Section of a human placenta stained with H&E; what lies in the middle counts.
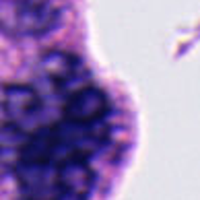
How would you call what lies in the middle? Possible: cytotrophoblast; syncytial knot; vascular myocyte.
I would call it a syncytial knot.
